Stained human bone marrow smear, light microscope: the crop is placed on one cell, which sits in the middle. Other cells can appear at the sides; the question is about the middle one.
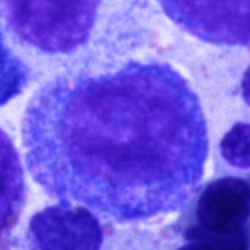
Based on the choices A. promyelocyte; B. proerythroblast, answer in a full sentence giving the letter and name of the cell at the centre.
Option A correctly states that the central cell is a promyelocyte.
